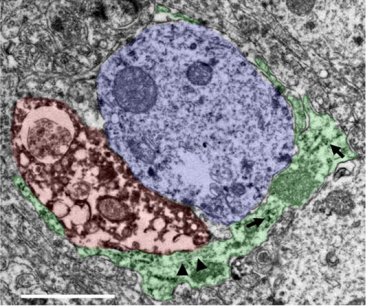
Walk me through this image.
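This is a synapse between a red-shaded axon terminal and a large blue-shaded dendrite, both cradled by a thin green-shaded astrocytic process. The terminal on the left is filled with small round vesicles and contains a mitochondrion; the dendrite beside it is larger and paler, with a few mitochondria. The green astrocytic sheet runs beneath and along both profiles, so the sheath covers presynaptic and postsynaptic sides alike.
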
